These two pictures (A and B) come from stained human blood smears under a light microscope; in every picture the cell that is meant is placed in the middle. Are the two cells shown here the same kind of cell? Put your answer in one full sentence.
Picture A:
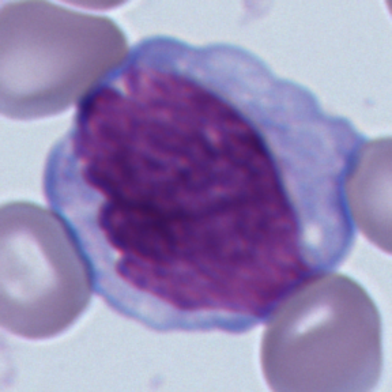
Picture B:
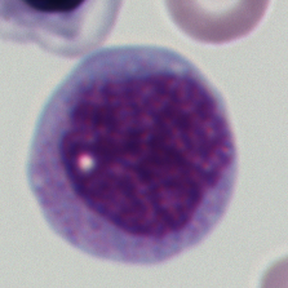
Yes; the cells in both pictures are monocytes.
